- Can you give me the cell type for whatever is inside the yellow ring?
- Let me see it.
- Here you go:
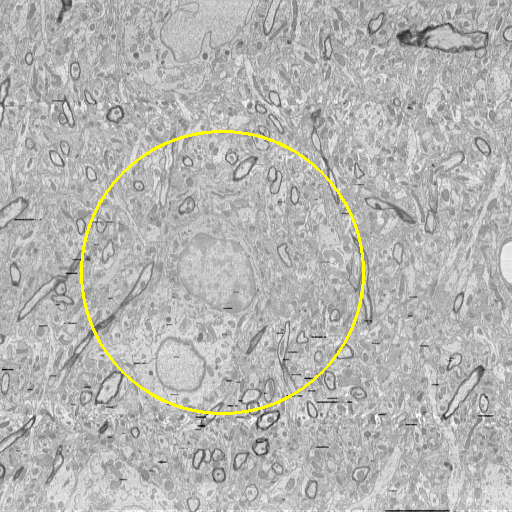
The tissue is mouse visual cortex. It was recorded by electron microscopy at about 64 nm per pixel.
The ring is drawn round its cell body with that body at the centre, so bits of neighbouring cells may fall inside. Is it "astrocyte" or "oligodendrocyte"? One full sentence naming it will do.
The cell body in the middle of the ring in this picture belongs to an oligodendrocyte.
